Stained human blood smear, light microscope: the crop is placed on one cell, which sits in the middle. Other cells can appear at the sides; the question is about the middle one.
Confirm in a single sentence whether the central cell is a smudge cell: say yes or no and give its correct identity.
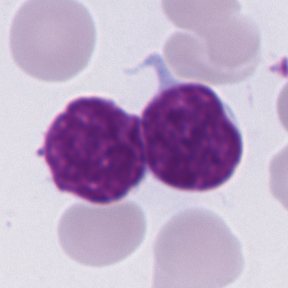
No, instead of being a smudge cell, the middle cell is a myeloblast.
